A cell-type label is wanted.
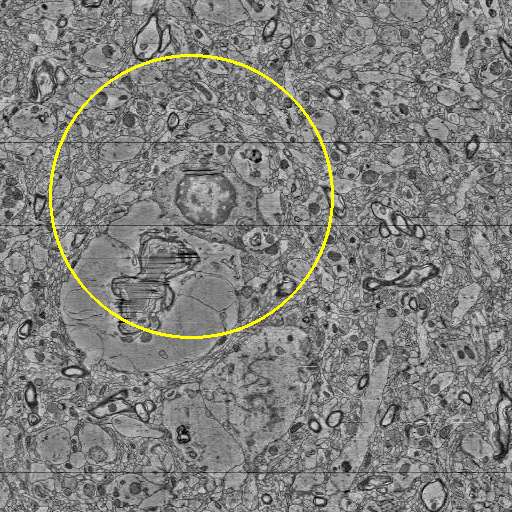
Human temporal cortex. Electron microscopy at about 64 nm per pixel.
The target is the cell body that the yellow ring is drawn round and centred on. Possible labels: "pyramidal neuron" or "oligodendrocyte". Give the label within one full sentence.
Of the labels offered, the cell in the middle of the yellow ring is an oligodendrocyte.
